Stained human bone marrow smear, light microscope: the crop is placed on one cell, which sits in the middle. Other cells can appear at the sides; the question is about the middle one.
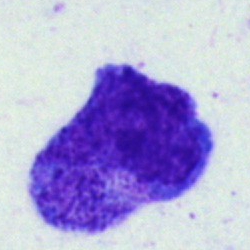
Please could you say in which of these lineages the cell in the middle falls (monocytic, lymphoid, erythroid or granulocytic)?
granulocytic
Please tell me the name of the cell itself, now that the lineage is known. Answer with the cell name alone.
promyelocyte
